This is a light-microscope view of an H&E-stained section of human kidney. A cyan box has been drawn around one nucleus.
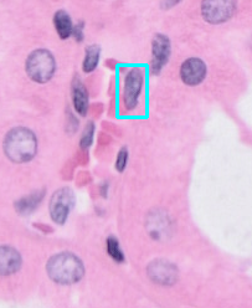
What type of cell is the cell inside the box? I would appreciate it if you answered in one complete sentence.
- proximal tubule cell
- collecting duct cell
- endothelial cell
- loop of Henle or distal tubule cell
In terms of identity, the cell inside the box is an endothelial cell.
